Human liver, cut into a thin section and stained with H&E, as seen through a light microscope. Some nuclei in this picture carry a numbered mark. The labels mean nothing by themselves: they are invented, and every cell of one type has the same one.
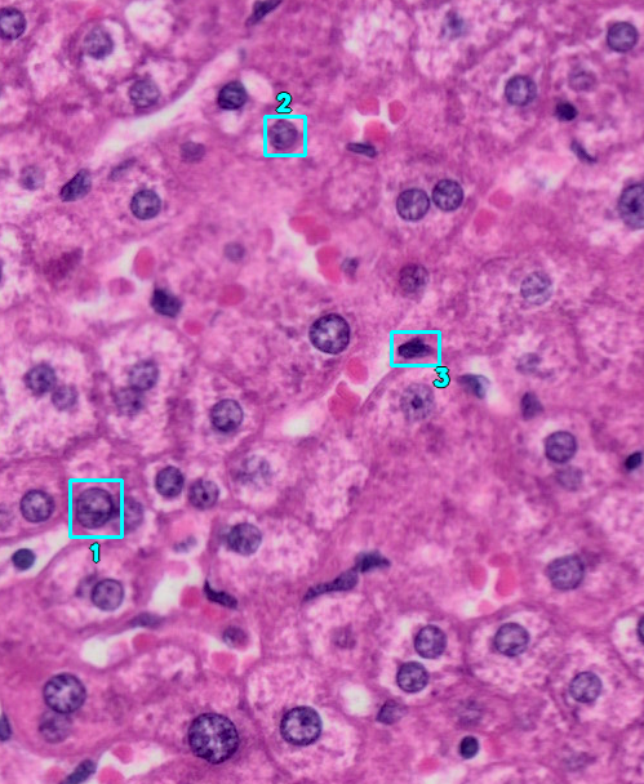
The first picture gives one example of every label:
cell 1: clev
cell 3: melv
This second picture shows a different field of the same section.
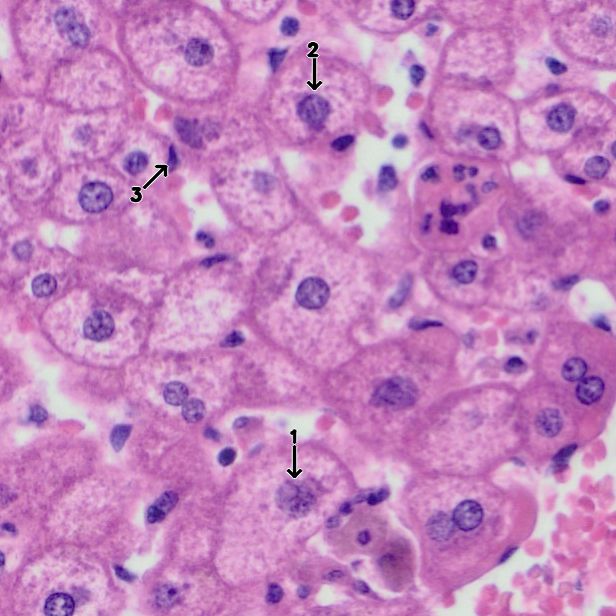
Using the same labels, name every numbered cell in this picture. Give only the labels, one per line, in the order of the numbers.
clev
clev
melv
